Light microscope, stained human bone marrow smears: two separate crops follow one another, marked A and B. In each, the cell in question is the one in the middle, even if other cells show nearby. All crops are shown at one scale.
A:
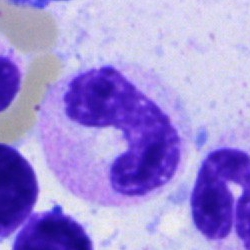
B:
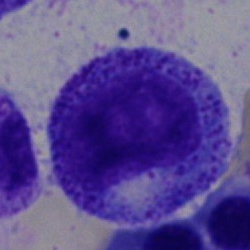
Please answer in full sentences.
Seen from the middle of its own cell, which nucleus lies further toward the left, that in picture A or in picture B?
Seen within its cell, the nucleus in picture B lies further toward the left.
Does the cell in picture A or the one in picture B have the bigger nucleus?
Larger is the nucleus in picture B, at roughly 1.5 times the area of the other.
